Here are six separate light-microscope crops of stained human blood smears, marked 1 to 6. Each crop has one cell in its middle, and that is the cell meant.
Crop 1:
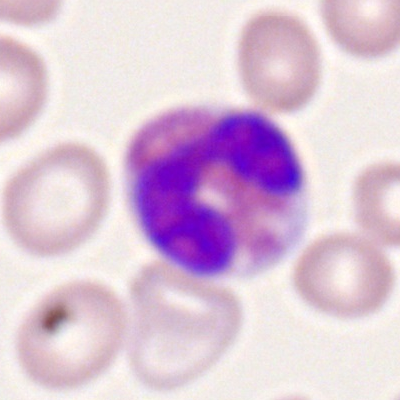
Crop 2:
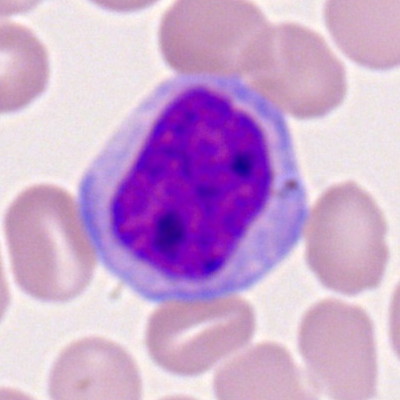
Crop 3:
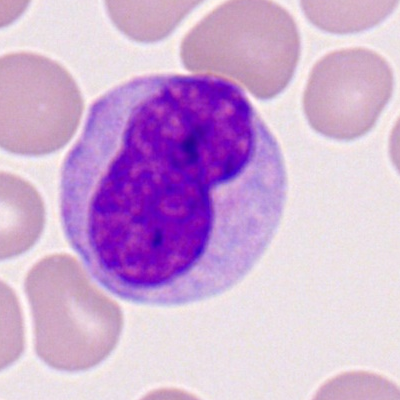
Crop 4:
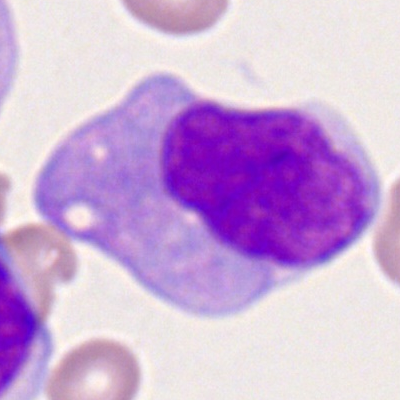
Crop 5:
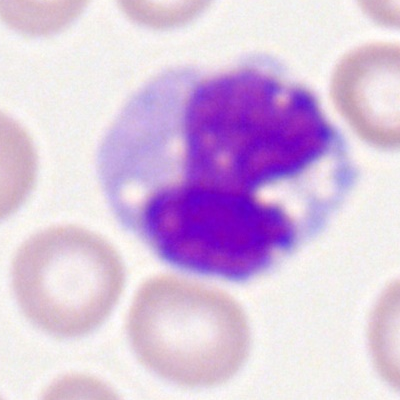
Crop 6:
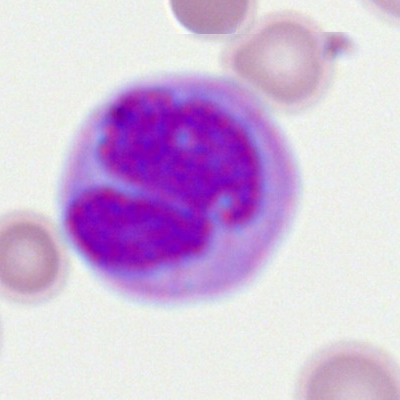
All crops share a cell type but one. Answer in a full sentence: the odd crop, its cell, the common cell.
Crop 1 is the outlier, with an eosinophil against monocytes in the rest.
